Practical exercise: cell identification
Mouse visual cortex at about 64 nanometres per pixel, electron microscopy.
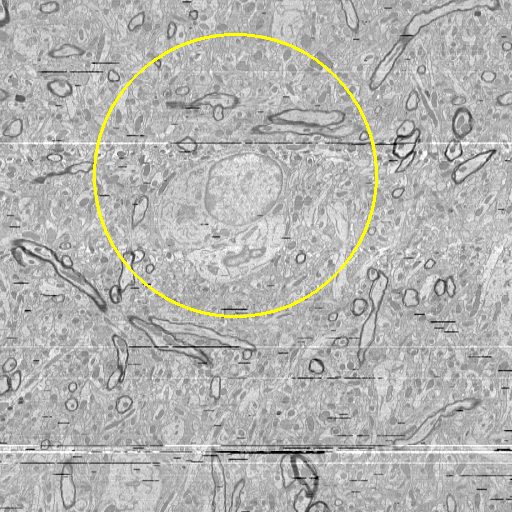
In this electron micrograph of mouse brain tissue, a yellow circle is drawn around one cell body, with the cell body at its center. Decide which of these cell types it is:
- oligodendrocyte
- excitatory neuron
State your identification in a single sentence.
The ringed cell is an oligodendrocyte.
